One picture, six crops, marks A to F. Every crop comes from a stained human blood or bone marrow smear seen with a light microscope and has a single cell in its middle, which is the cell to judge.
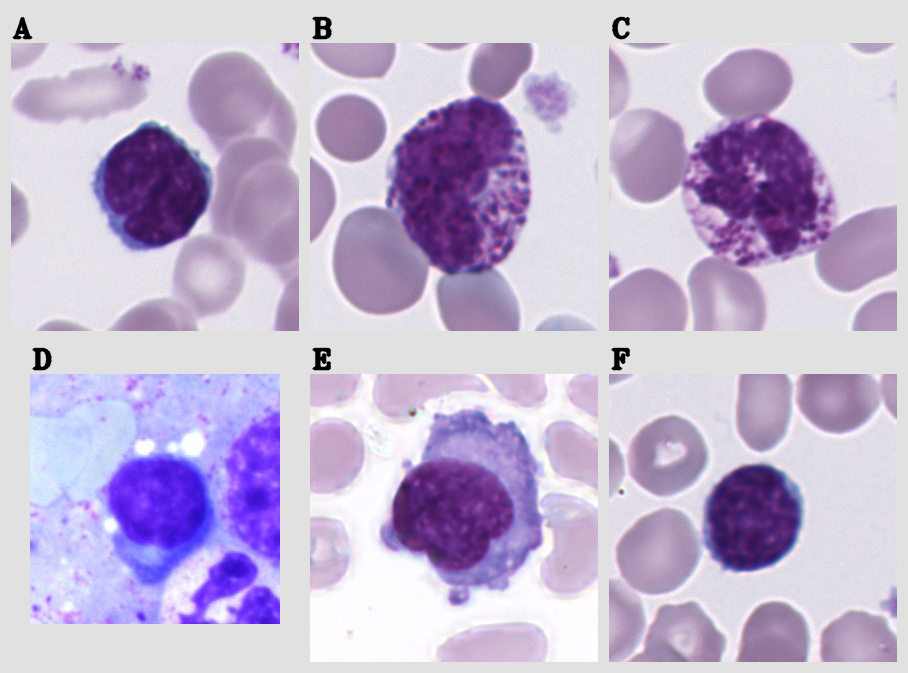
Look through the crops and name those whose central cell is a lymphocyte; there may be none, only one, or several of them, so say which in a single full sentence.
For crops A, D and F, the central cells are lymphocytes.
